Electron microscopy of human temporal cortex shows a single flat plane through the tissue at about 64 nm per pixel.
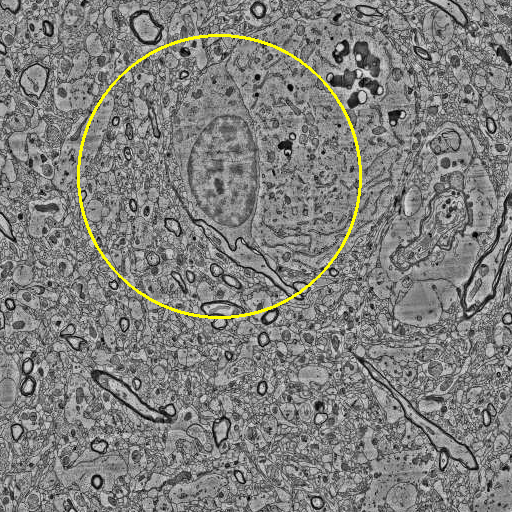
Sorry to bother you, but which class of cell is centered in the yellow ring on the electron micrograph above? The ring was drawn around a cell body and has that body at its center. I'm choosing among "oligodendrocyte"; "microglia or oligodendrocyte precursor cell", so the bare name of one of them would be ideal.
oligodendrocyte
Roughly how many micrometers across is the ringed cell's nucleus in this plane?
In this plane, approximately 7 by 4 micrometers, and clearly longer than it is wide.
